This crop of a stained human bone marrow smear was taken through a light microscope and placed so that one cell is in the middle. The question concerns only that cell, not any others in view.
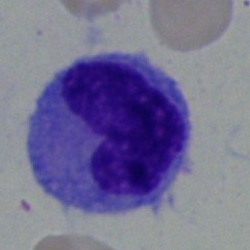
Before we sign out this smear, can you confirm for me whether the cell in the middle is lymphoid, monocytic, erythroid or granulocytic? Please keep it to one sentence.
Our central cell here is part of the monocytic lineage.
